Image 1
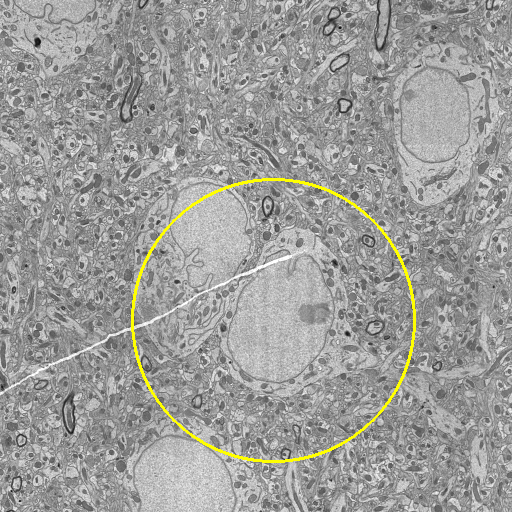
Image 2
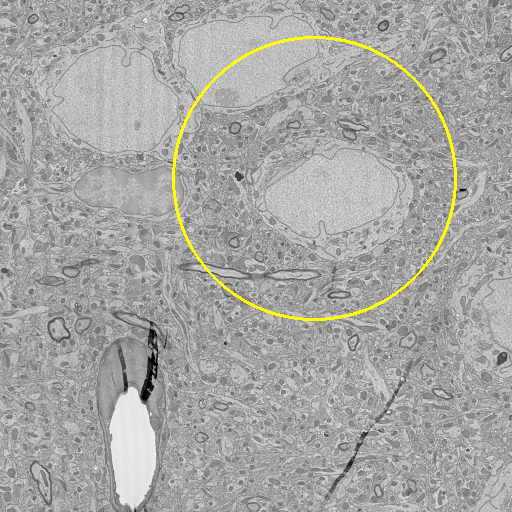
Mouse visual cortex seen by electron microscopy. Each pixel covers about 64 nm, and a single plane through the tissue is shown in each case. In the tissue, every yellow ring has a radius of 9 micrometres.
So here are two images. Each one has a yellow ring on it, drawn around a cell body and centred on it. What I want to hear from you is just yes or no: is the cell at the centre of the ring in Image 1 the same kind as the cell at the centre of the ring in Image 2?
yes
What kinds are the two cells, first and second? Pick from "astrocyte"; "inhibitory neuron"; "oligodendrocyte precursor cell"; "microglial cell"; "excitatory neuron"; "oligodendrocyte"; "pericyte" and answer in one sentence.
Both the first and the second picture show an excitatory neuron in the ring.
